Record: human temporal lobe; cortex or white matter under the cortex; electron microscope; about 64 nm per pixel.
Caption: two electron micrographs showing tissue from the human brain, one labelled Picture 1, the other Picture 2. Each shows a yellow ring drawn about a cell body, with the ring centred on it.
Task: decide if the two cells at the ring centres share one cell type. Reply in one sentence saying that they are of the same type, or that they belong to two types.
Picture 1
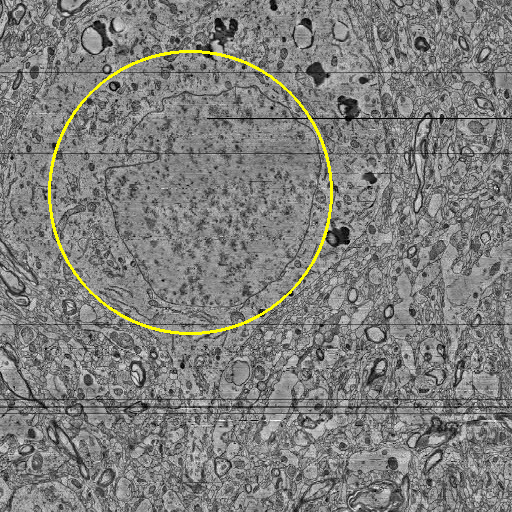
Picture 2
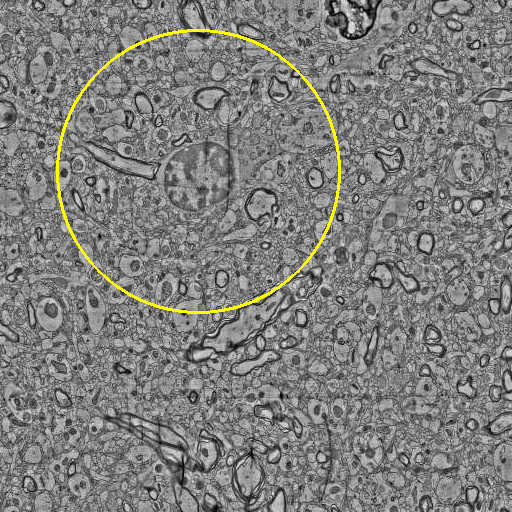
The cells at the ring centres in Picture 1 and Picture 2 belong to two types.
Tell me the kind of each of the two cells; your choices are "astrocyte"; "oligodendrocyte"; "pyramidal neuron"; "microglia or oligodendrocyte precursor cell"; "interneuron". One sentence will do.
The ringed cell is a pyramidal neuron in the first picture and an oligodendrocyte in the second picture.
